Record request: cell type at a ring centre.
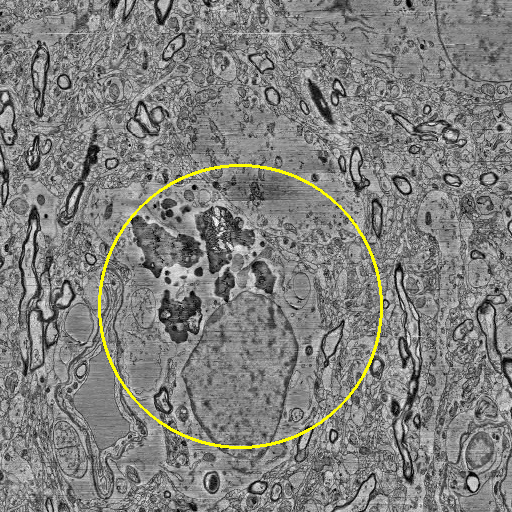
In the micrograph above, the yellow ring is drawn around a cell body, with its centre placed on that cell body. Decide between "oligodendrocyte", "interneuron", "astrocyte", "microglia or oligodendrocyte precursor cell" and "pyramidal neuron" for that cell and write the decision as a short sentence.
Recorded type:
The cell centred in the yellow ring is an astrocyte.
